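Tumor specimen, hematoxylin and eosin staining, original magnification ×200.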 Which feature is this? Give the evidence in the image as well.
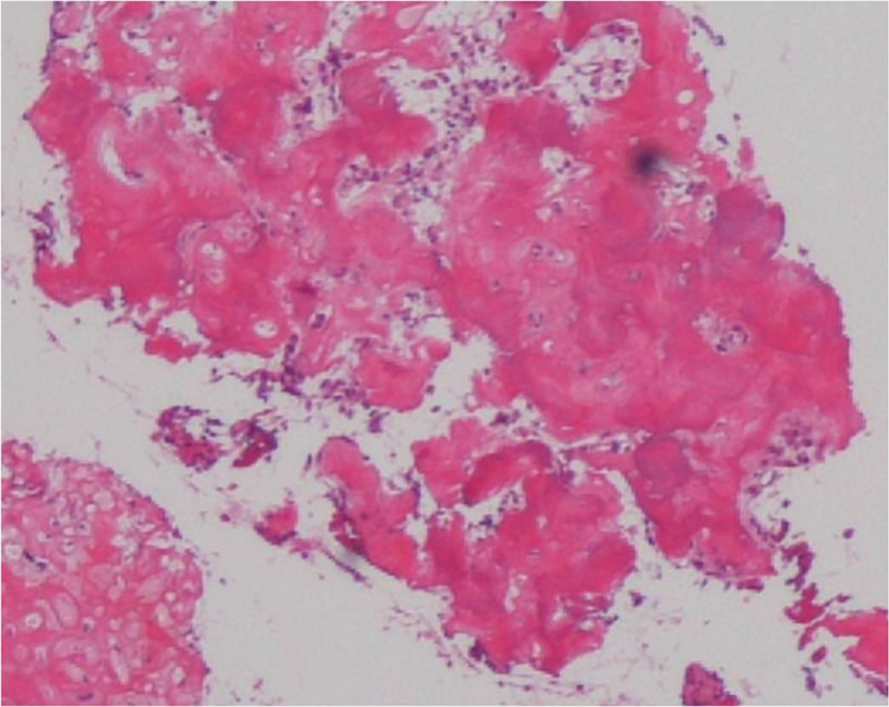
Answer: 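Irregular, deeply eosinophilic pink trabeculae join one another in an anastomosing network. Scattered small cells sit in lacunae within the pink matrix. Loose cellular tissue with purple nuclei fills the spaces between the trabeculae. That points to this answer: interconnected trabeculae of woven bone.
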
